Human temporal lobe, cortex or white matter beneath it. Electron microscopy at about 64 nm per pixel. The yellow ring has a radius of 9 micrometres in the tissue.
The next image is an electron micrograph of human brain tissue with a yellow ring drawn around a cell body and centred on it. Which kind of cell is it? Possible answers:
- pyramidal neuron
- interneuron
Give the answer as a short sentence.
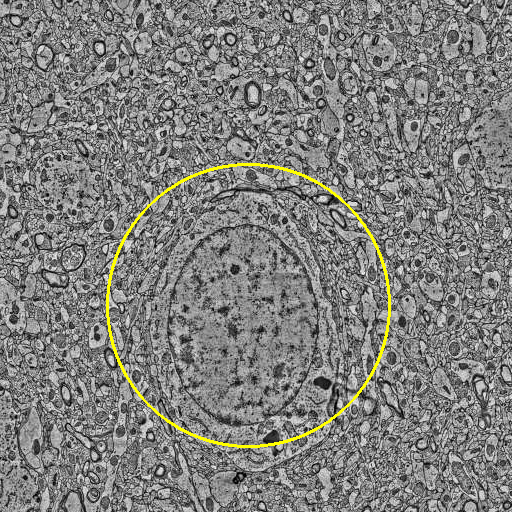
In the ring's centre is an interneuron.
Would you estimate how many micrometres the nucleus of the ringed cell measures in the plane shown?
The ringed cell's nucleus is about 13 micrometres long and 10 micrometres wide in this plane.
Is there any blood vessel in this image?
No, the picture includes no blood vessel.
